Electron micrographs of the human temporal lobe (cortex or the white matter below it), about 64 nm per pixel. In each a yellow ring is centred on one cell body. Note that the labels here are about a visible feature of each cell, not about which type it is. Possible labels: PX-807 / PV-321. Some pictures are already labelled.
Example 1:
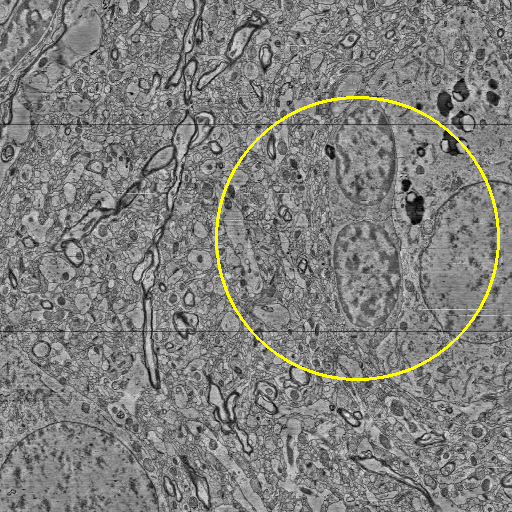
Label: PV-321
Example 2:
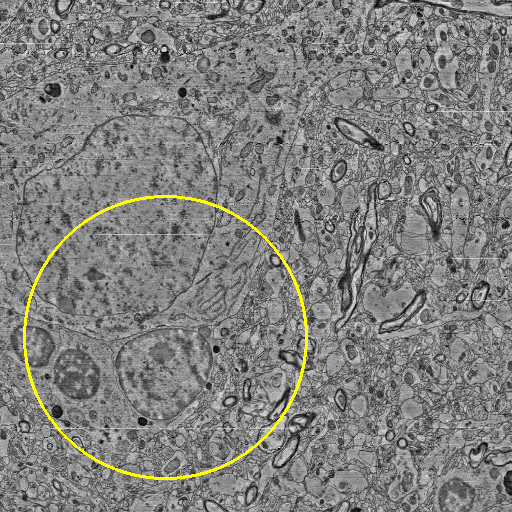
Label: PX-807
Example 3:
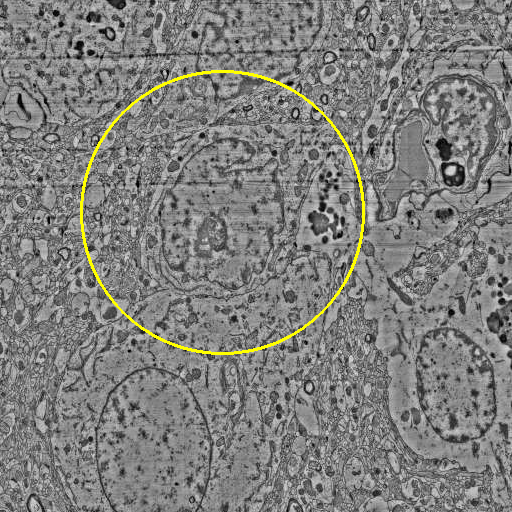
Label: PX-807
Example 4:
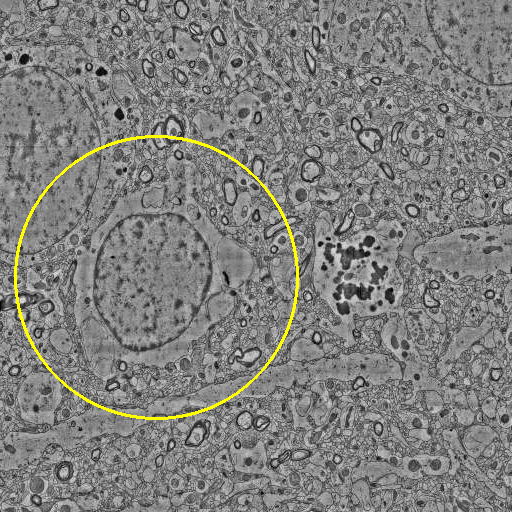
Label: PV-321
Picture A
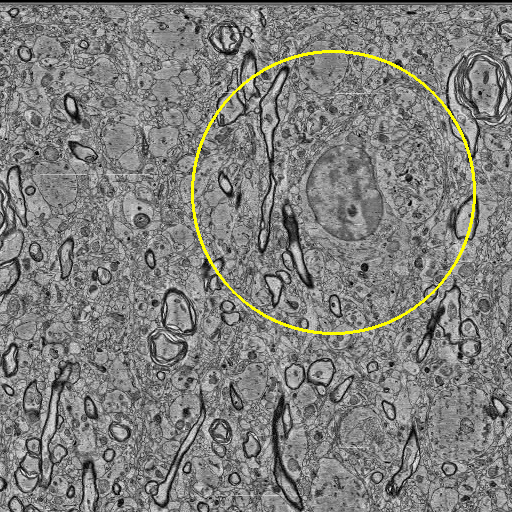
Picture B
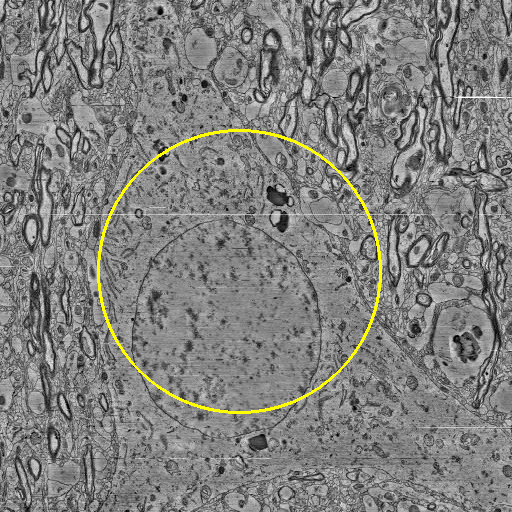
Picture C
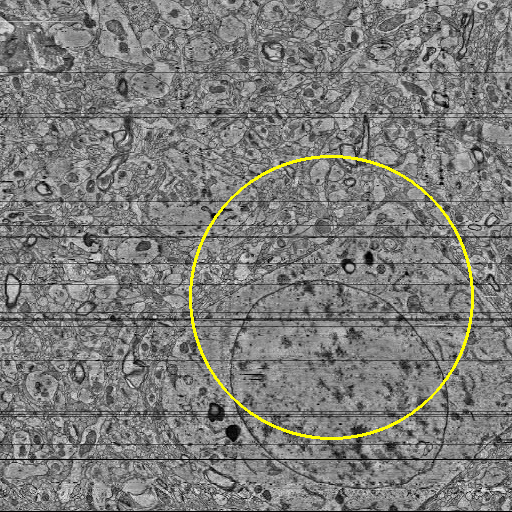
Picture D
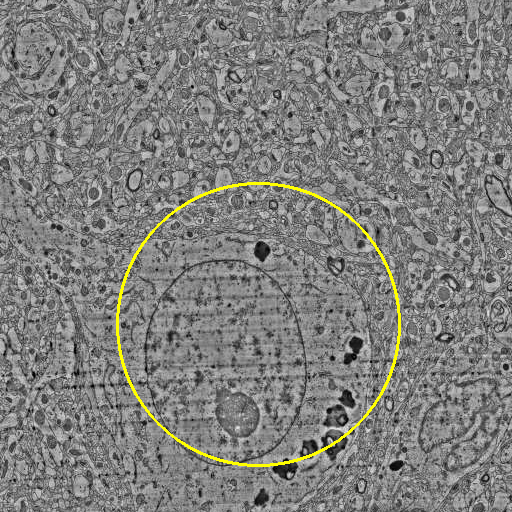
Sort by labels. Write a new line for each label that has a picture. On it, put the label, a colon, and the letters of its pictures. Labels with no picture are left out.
PX-807: A, D
PV-321: B, C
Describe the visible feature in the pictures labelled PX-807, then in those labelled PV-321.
In PX-807: nucleolus seen. In PV-321: no nucleolus seen.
